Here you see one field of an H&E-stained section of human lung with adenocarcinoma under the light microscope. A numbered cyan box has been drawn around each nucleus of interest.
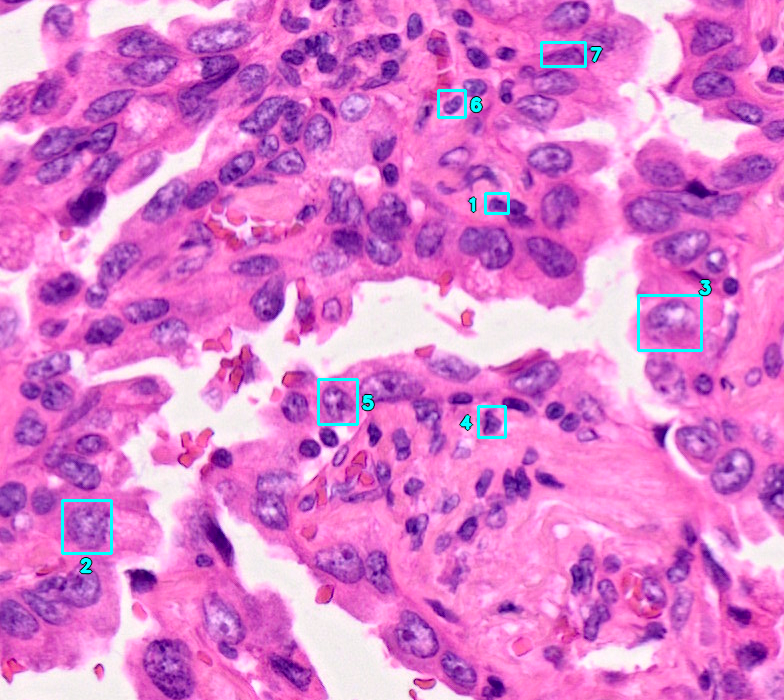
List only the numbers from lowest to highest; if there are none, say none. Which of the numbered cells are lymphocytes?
1, 4, 6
